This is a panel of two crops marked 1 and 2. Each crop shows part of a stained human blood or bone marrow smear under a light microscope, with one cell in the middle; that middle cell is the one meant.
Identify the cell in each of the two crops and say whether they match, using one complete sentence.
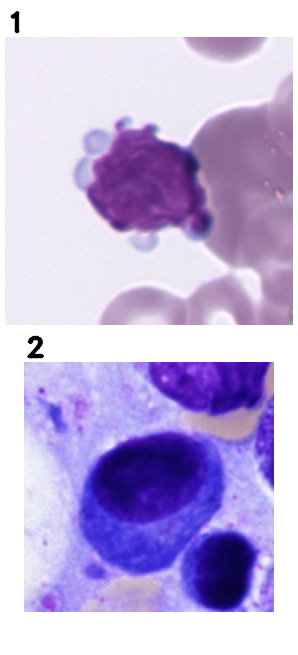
No, a lymphocyte is in crop 1, and a plasma cell is in crop 2.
